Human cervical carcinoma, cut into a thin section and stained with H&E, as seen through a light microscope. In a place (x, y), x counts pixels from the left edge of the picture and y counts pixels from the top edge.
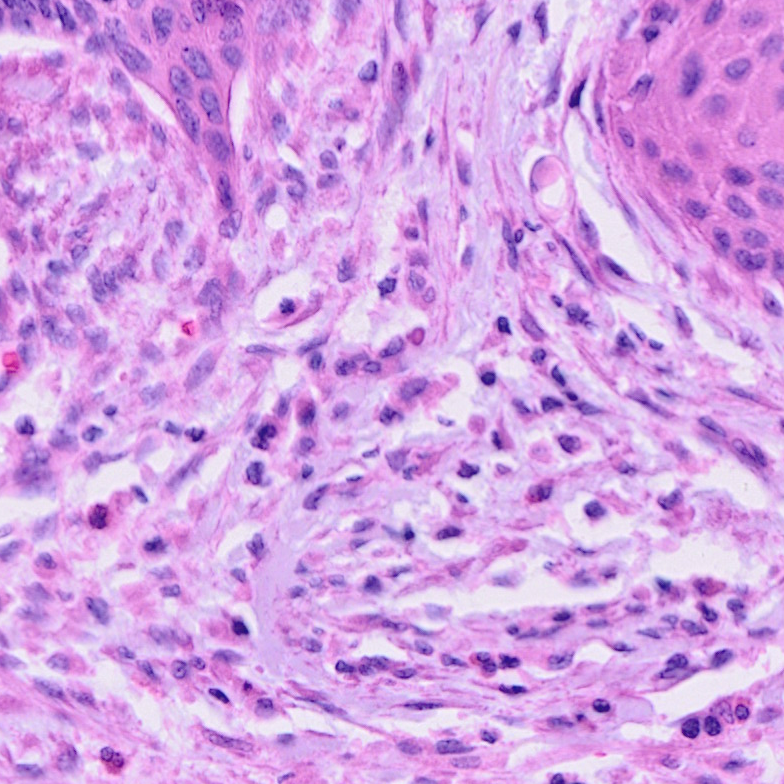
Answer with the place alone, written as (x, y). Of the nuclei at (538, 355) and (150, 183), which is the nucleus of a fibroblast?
(150, 183)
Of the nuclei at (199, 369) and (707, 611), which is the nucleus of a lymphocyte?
(707, 611)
